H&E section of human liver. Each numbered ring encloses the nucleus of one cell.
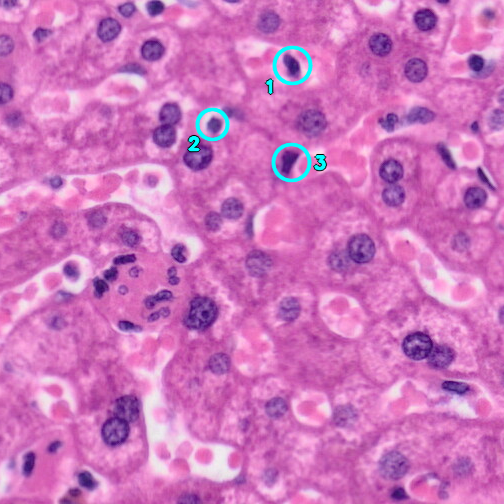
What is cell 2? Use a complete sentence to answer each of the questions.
Regarding cell 2, this one is a lymphocyte.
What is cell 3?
Nucleus 3 in this section belongs to a fibroblast or stellate cell.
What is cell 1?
Cell 1, among those numbered, is a lymphocyte.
